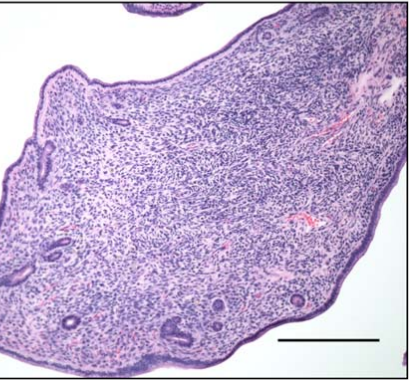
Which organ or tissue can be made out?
Endometrial stromal polyp.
